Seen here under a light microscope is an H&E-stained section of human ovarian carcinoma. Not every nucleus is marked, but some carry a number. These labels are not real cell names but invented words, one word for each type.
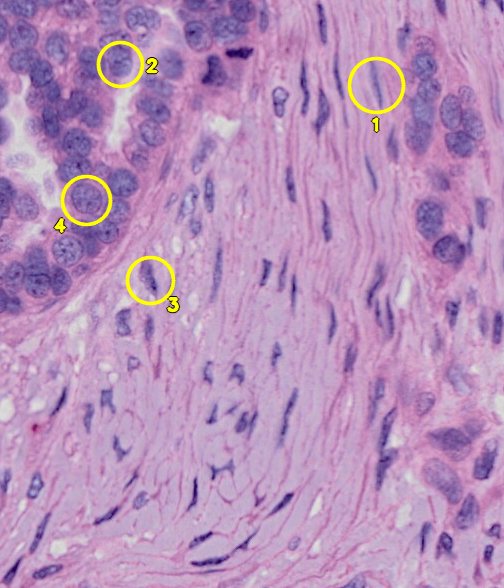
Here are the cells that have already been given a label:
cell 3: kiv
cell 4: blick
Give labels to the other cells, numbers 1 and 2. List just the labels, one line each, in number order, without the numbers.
kiv
blick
